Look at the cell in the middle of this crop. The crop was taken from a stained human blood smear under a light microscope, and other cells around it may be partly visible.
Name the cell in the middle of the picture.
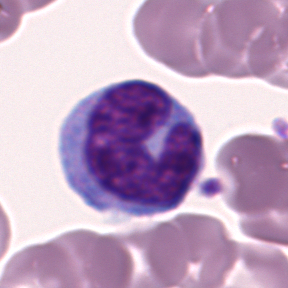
monocyte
